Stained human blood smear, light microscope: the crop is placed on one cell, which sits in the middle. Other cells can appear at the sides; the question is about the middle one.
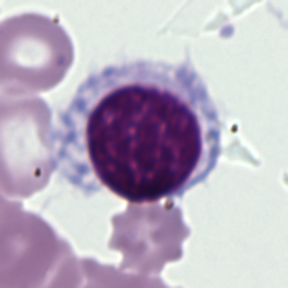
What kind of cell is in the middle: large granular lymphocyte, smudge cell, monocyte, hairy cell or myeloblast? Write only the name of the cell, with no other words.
hairy cell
